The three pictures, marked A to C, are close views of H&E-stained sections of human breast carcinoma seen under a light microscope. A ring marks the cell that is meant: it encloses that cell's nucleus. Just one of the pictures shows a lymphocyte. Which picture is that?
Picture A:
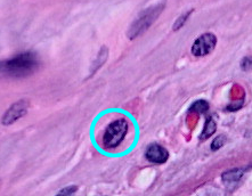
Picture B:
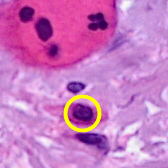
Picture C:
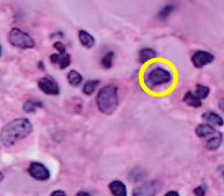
C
